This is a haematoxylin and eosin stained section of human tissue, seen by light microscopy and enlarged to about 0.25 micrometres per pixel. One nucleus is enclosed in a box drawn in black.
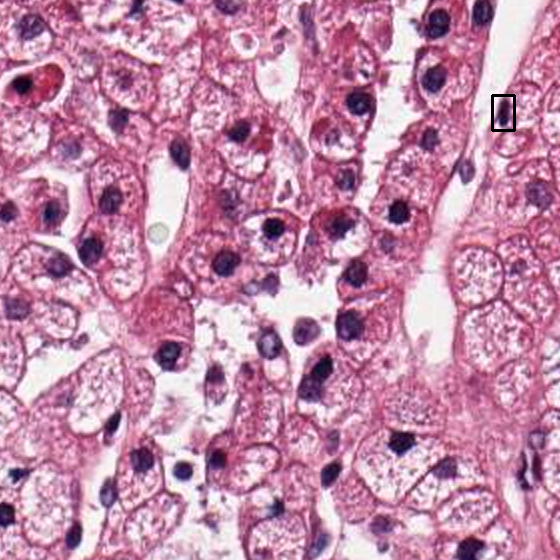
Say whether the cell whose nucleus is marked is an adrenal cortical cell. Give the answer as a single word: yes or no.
no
